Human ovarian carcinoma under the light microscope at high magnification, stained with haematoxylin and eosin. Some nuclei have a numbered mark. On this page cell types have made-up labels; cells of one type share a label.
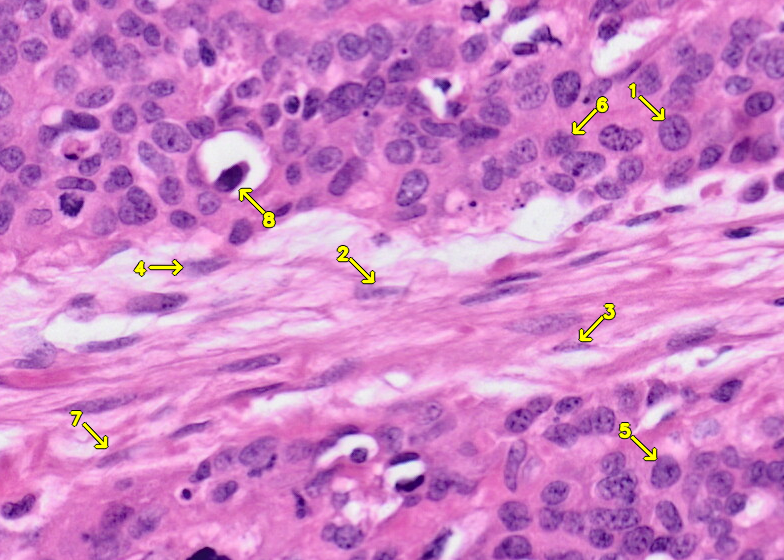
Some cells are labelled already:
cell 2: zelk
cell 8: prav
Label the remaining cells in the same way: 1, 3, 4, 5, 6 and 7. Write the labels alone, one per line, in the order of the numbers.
prav
zelk
zelk
prav
prav
zelk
